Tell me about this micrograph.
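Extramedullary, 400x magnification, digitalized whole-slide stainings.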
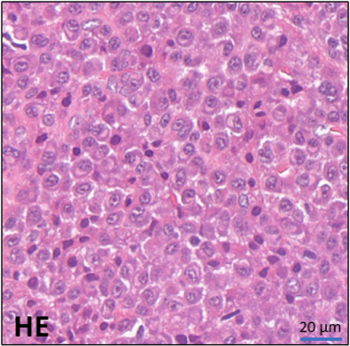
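A solid sheet of closely packed round to polygonal tumor cells with ample pink-purple cytoplasm and large round nuclei, many with a single conspicuous nucleolus; a few smaller cells with dark compact nuclei lie among them. The picture is that of a plasmacytoma whose cells resemble immature plasma cells, without blastoid features.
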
